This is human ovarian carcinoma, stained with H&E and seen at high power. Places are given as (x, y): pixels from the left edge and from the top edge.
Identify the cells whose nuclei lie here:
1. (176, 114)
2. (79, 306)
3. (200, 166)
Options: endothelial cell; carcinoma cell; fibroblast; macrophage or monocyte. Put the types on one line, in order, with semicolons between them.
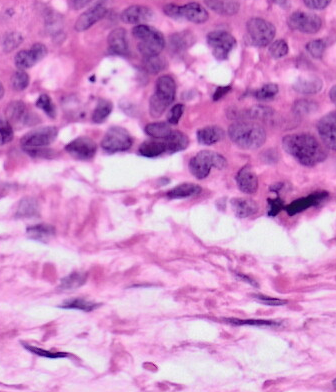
carcinoma cell; fibroblast; macrophage or monocyte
